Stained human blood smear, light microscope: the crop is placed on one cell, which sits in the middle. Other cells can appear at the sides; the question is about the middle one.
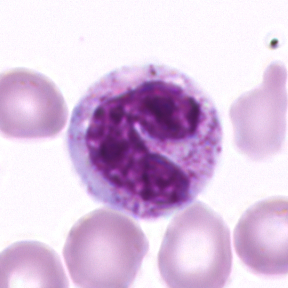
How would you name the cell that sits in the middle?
band neutrophil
